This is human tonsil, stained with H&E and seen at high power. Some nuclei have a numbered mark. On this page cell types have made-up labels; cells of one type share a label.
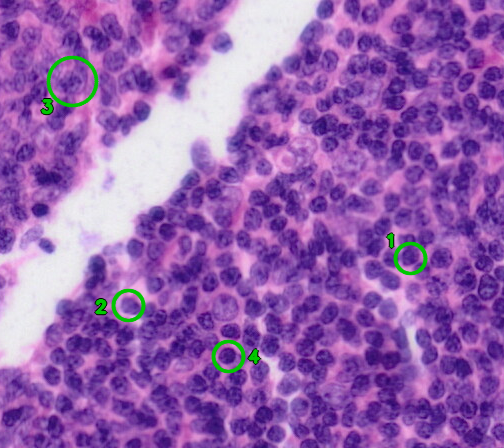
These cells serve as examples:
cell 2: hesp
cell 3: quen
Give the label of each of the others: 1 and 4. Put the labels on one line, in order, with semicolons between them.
hesp; hesp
